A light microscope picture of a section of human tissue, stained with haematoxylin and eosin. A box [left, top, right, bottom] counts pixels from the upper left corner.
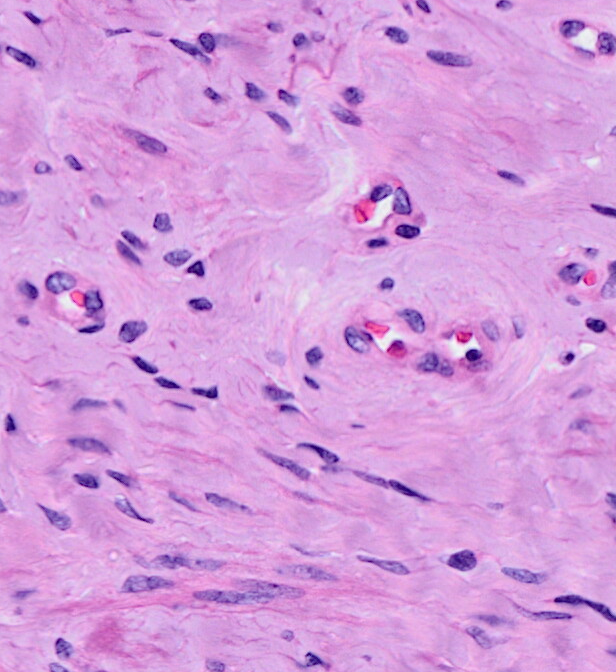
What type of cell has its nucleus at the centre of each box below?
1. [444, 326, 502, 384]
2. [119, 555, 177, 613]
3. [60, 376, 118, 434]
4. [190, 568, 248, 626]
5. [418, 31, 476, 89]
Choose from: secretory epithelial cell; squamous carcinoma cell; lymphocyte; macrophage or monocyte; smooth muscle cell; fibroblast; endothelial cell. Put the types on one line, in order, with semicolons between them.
endothelial cell; smooth muscle cell; fibroblast; smooth muscle cell; fibroblast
